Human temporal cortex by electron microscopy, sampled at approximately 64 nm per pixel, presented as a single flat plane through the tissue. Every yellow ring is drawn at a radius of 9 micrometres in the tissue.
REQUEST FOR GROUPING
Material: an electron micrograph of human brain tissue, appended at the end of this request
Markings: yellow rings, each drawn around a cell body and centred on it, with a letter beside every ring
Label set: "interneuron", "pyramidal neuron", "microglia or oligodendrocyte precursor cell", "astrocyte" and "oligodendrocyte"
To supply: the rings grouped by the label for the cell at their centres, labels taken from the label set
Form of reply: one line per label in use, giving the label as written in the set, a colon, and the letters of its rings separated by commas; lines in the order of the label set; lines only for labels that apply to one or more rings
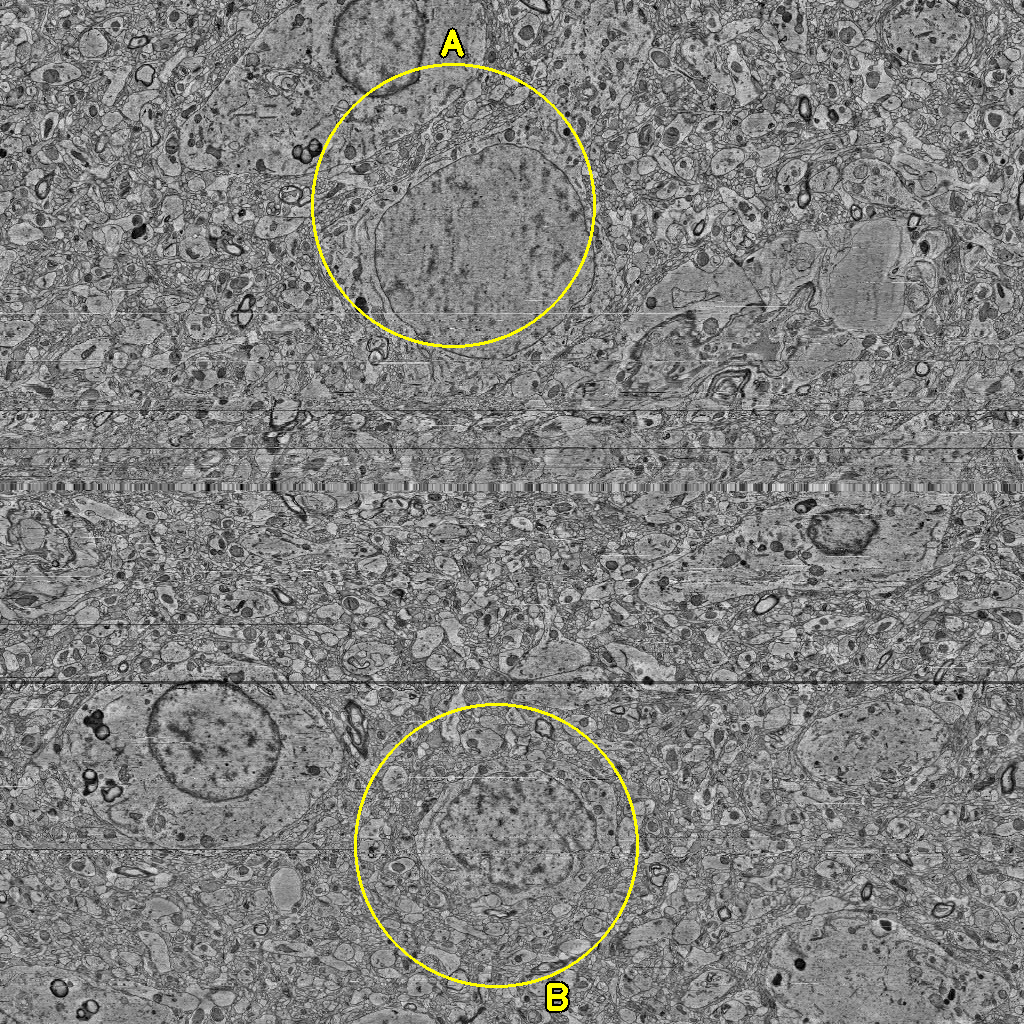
interneuron: B
pyramidal neuron: A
